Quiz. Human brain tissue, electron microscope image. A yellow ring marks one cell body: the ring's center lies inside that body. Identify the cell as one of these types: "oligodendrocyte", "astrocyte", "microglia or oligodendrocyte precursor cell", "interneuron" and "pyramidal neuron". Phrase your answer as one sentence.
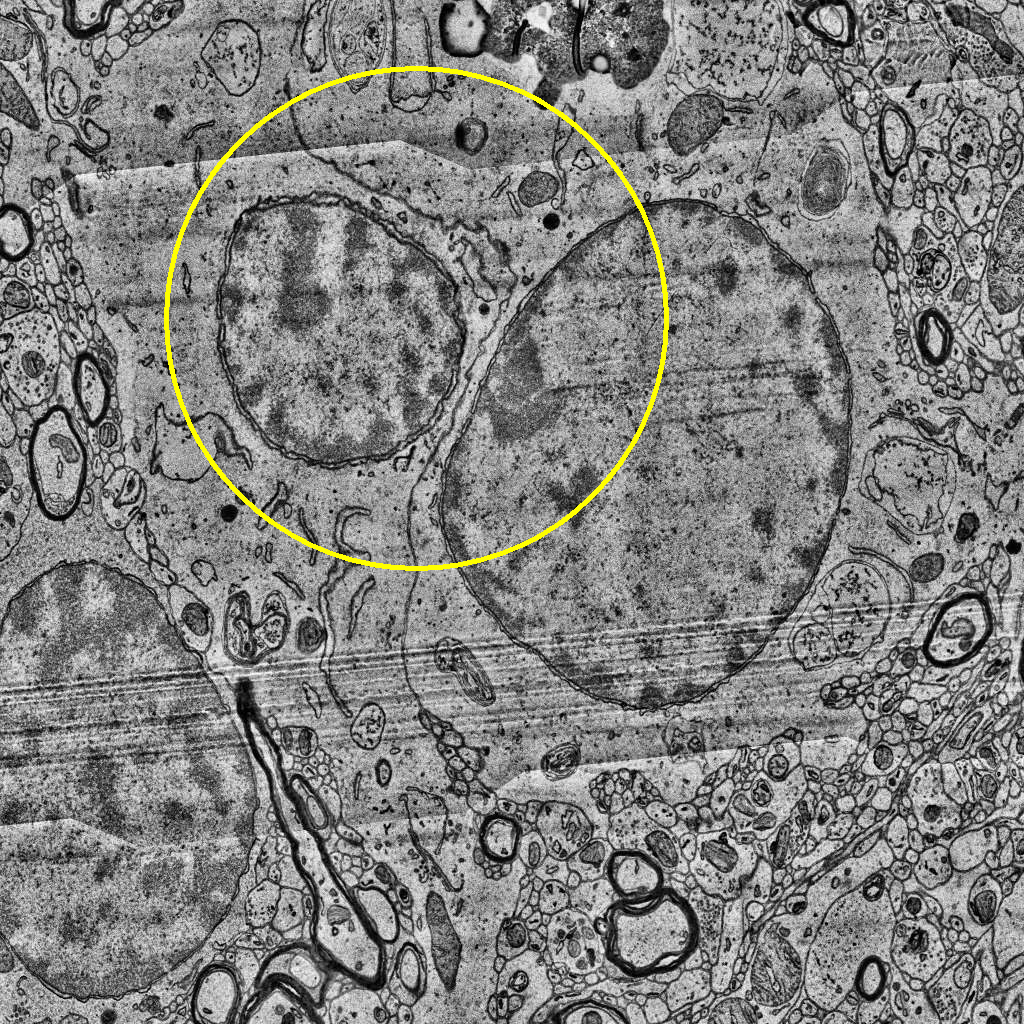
At the center of the ring sits an astrocyte.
